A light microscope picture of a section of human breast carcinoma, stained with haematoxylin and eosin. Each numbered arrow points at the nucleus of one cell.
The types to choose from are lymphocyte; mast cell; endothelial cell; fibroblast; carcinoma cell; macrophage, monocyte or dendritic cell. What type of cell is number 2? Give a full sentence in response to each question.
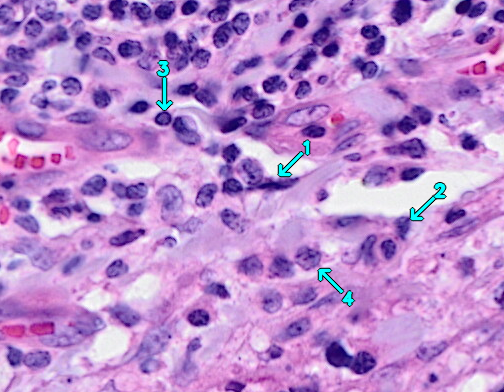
The cell whose nucleus carries the number 2 is a lymphocyte.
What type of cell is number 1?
The cell with the number 1 is a lymphocyte.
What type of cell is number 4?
The cell marked with number 4 is a macrophage, monocyte or dendritic cell.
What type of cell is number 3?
Cell 3 of the marked set is a lymphocyte.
